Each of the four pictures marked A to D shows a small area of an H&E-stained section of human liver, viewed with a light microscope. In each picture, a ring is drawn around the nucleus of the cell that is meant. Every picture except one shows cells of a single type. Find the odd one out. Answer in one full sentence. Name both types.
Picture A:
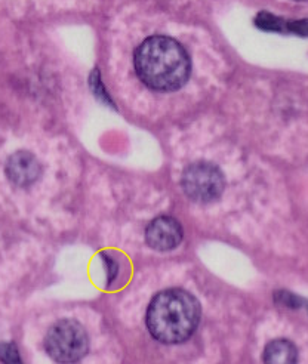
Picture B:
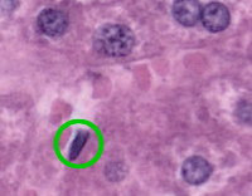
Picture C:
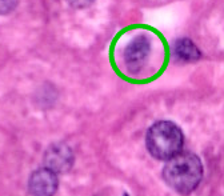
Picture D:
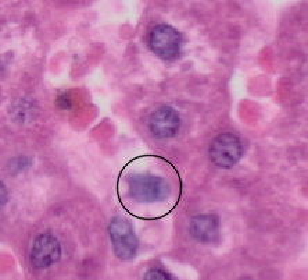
Picture C differs, because its cell is a Kupffer cell and the rest are endothelial cells.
